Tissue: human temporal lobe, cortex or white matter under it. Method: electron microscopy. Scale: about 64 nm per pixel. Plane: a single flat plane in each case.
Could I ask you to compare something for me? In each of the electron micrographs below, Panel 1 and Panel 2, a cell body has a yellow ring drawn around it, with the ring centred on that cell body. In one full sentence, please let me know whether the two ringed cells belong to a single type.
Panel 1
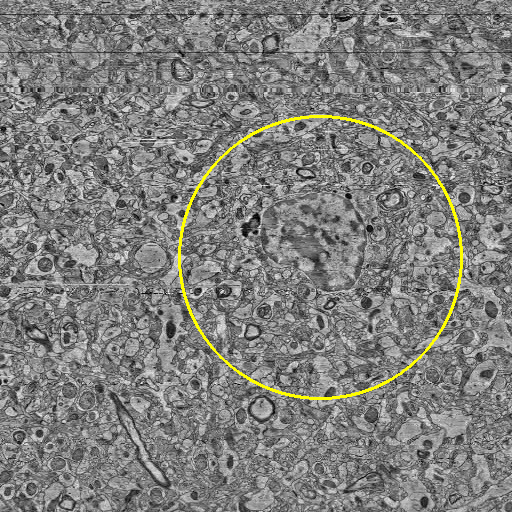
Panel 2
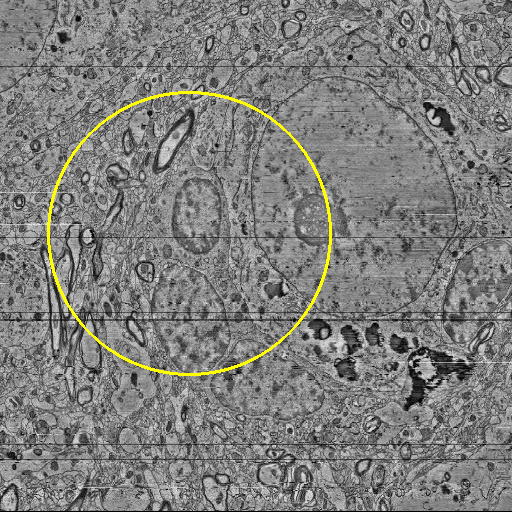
No, the two cells at the centres of the rings are of two types.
